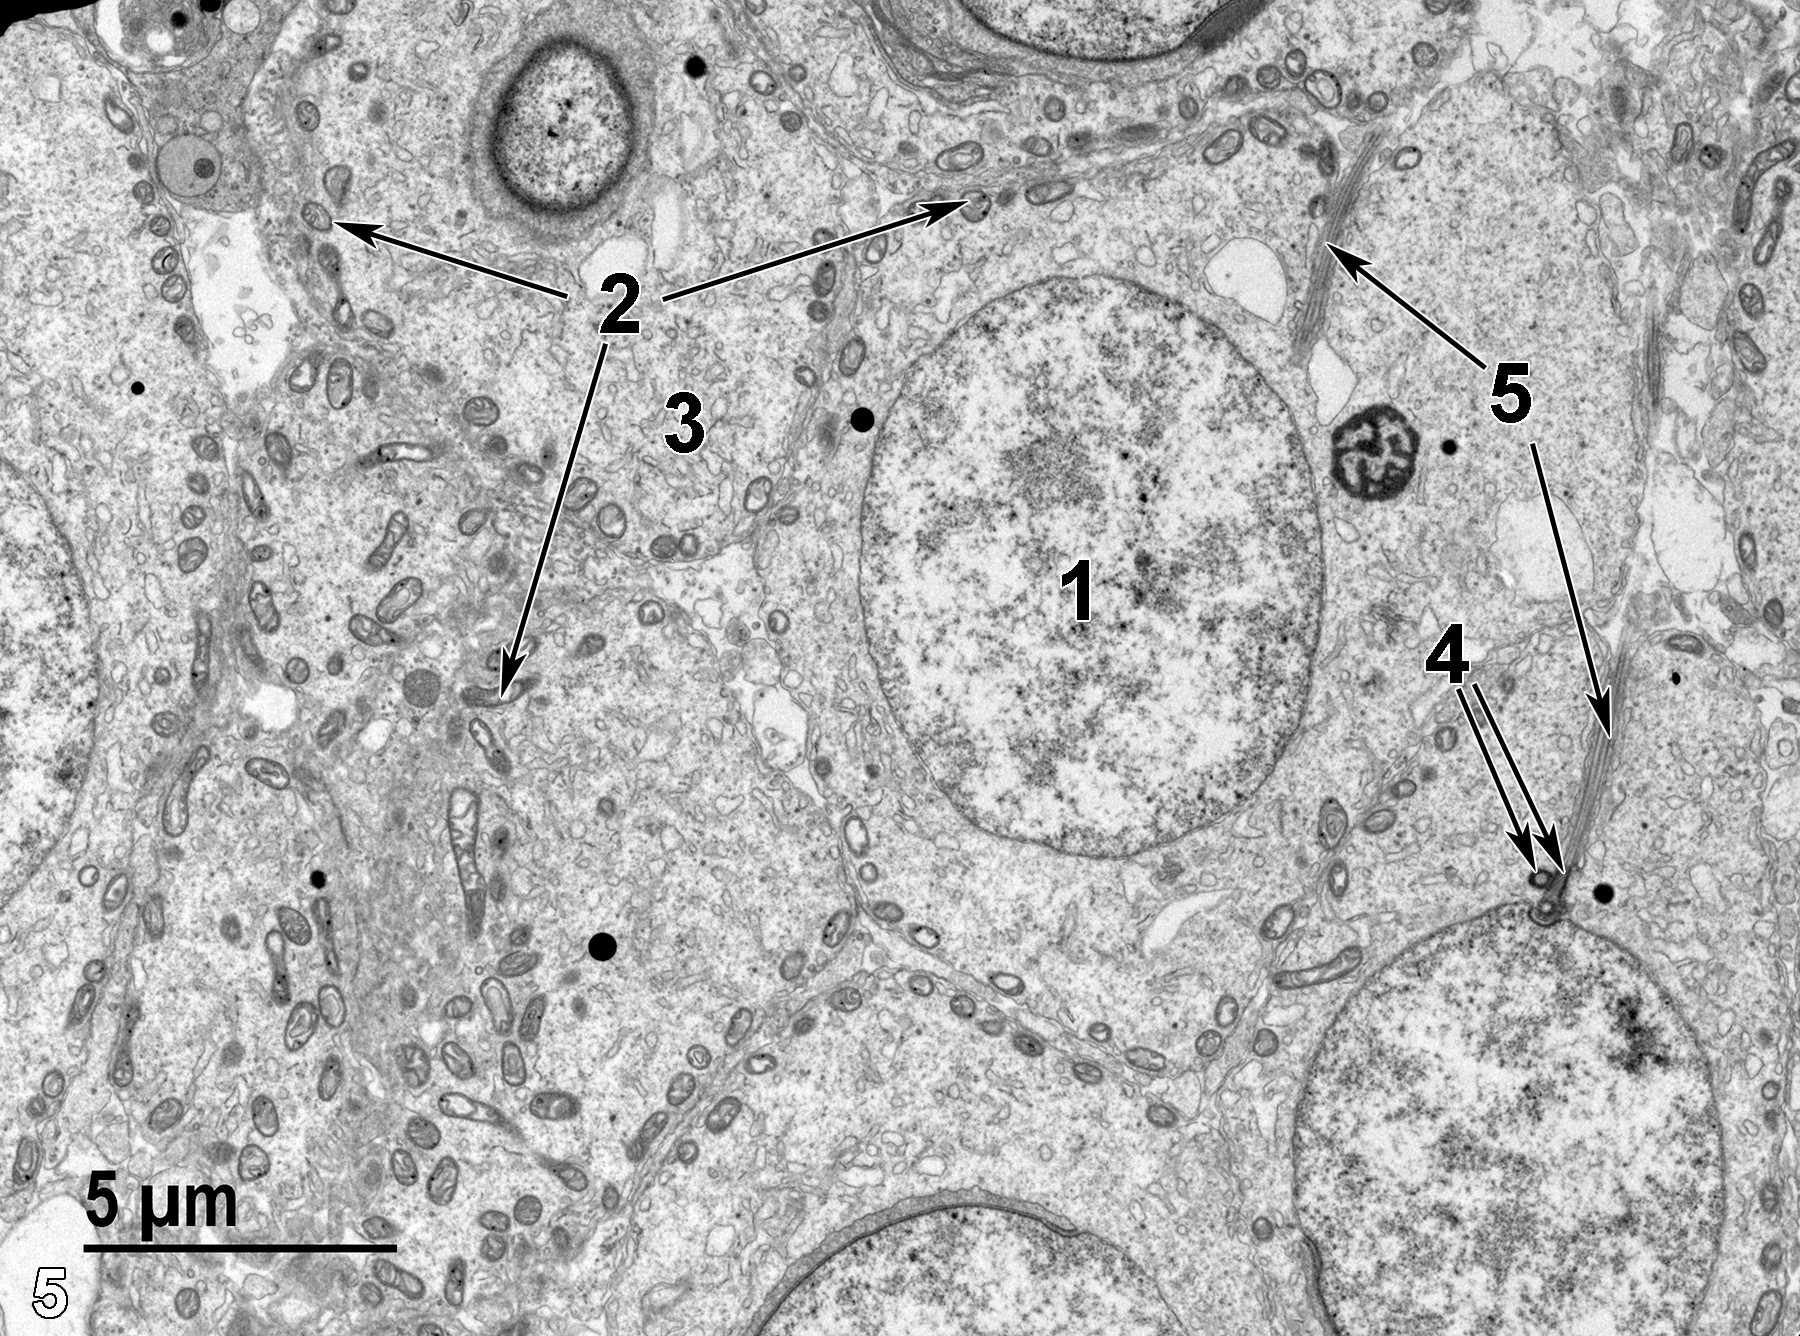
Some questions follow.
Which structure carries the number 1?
At 1: nuclei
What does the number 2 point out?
The number 2 marks the mitochondria.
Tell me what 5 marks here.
Axonemes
